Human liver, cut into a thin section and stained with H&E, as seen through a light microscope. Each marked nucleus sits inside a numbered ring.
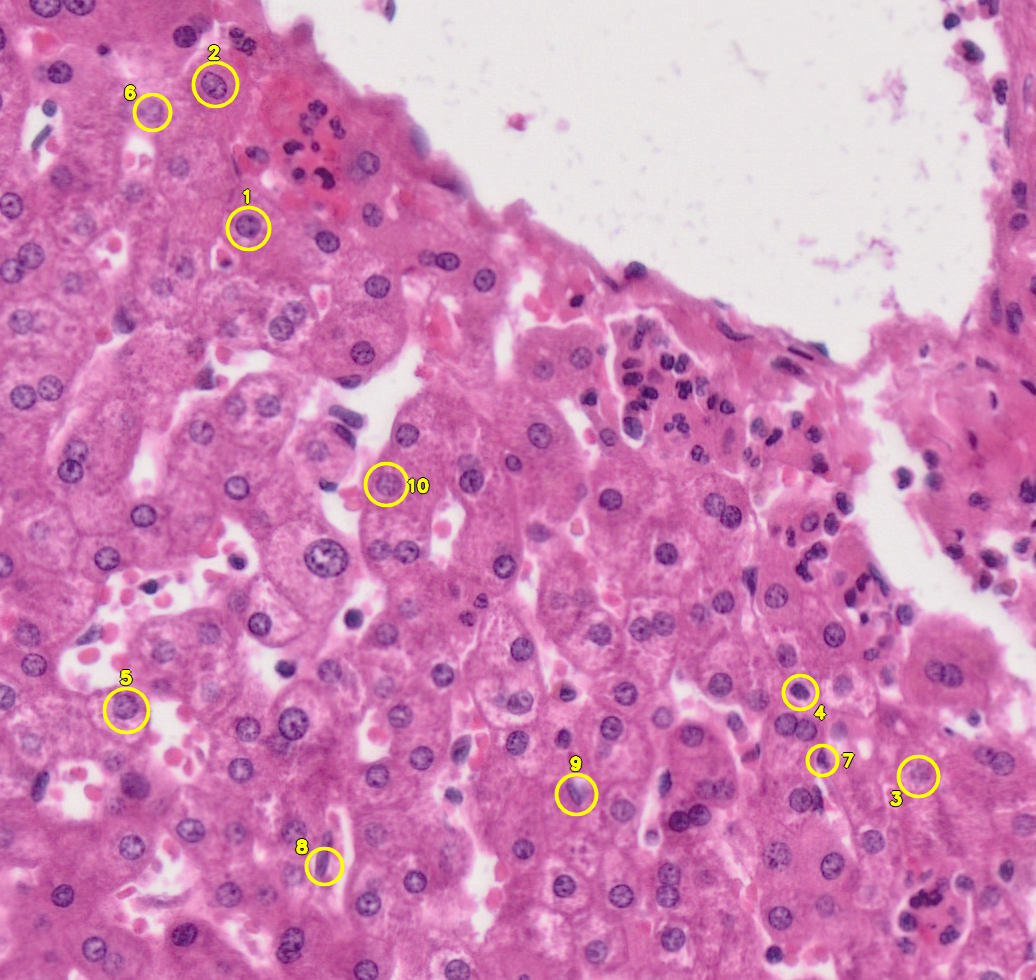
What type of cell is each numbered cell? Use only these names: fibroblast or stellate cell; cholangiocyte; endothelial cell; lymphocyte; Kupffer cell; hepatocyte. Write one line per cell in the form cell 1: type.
cell 1: hepatocyte
cell 2: hepatocyte
cell 3: hepatocyte
cell 4: lymphocyte
cell 5: hepatocyte
cell 6: hepatocyte
cell 7: fibroblast or stellate cell
cell 8: Kupffer cell
cell 9: endothelial cell
cell 10: hepatocyte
